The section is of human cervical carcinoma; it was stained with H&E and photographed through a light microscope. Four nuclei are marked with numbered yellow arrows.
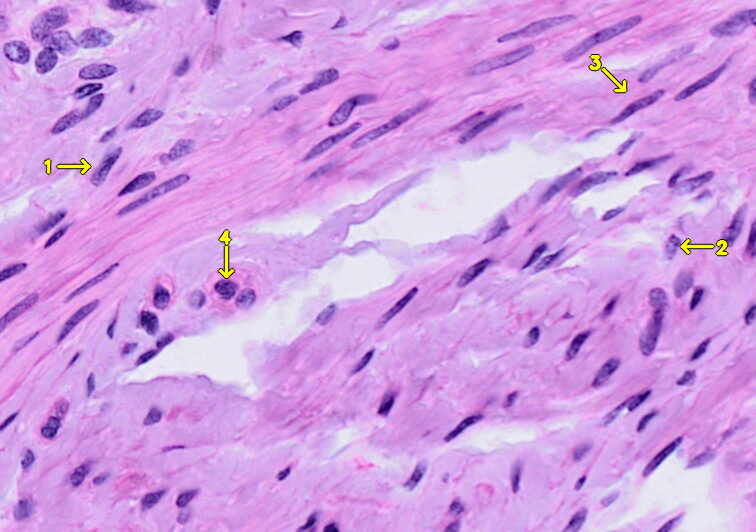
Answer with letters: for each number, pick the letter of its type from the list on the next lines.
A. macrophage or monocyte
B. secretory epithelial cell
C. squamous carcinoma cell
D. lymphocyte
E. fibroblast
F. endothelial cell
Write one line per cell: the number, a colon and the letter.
1: E
2: E
3: E
4: F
